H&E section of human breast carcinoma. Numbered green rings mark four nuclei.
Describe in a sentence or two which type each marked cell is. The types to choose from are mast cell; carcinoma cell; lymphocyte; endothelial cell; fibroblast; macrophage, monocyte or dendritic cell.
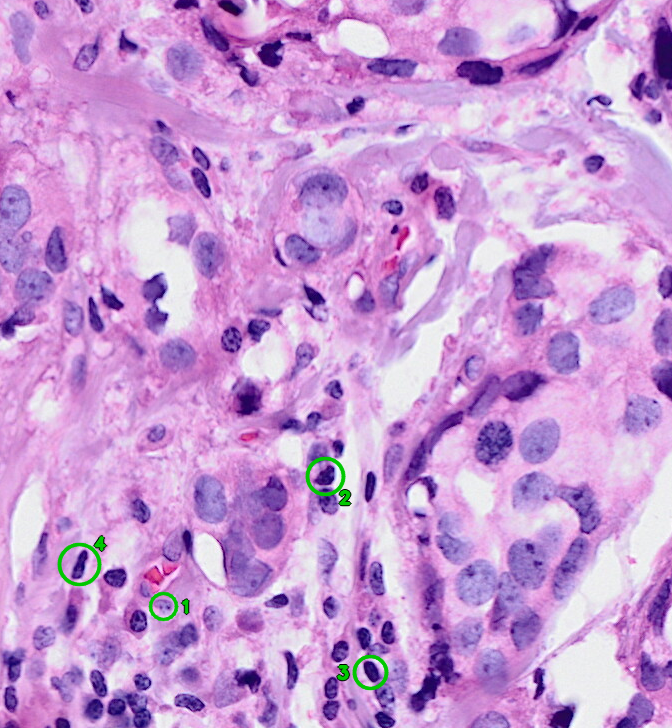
Cell 1 is an endothelial cell, cell 2 is a lymphocyte, cell 3 is a lymphocyte and cell 4 is a lymphocyte.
